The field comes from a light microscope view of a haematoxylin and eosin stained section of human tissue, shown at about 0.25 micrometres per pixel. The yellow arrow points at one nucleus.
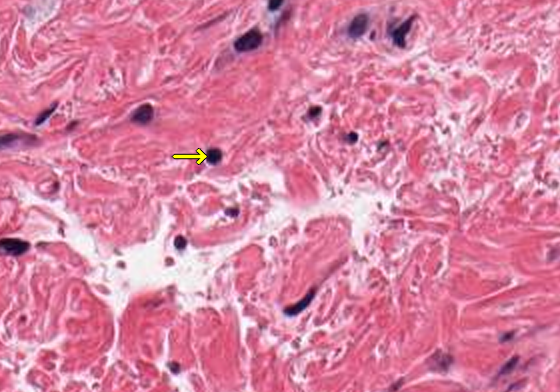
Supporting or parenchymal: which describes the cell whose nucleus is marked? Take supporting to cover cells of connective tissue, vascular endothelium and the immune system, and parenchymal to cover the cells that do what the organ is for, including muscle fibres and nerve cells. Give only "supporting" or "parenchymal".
supporting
